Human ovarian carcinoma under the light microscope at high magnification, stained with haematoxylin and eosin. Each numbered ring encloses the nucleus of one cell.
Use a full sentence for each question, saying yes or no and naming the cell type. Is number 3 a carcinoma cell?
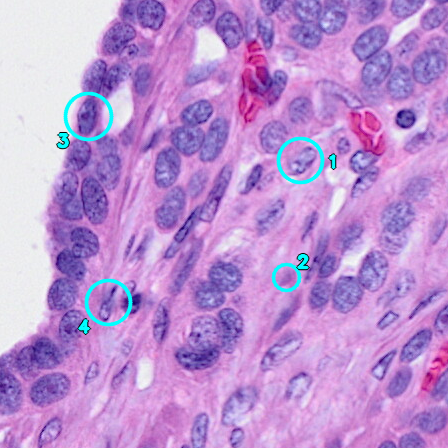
Yes, regarding cell number 3, it is a carcinoma cell.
